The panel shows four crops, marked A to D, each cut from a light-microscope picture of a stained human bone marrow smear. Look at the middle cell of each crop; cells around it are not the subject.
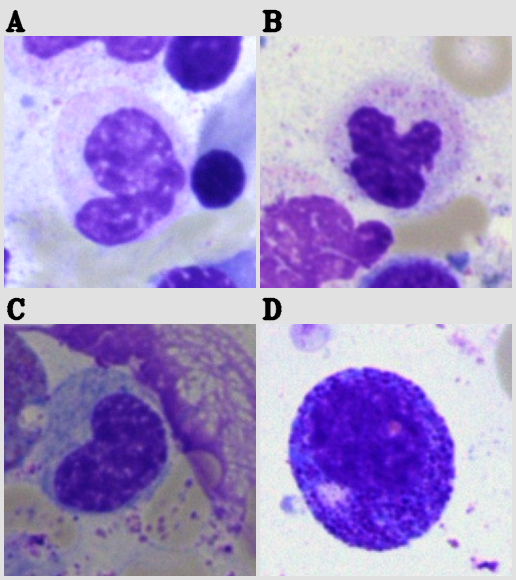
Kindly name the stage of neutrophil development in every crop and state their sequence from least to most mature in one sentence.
Ordered least to most mature, the series reads crop D (a promyelocyte), crop A (a metamyelocyte), crop C (a band neutrophil) and crop B (a segmented neutrophil).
